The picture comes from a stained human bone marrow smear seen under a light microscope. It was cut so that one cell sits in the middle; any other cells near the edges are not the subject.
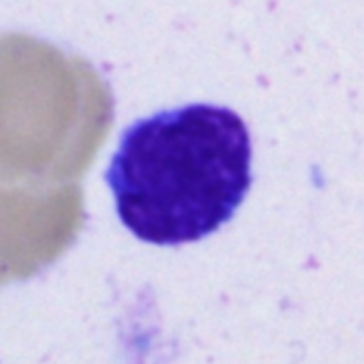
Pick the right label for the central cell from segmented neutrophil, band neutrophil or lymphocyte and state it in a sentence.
Classified as a lymphocyte is the cell in the middle of this crop.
